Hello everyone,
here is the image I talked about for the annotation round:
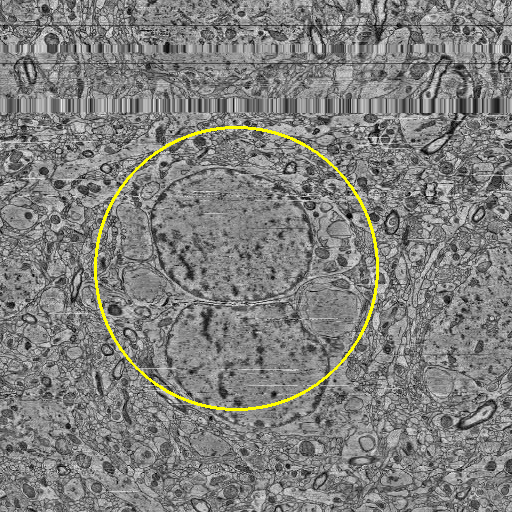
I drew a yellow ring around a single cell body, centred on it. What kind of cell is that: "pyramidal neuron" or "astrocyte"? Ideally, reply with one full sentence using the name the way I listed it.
The cell your yellow ring is centred on is an astrocyte, going by your list.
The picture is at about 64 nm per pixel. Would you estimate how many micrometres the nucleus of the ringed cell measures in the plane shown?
The nucleus is approximately 11 micrometers long by 9 micrometers wide in this plane.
